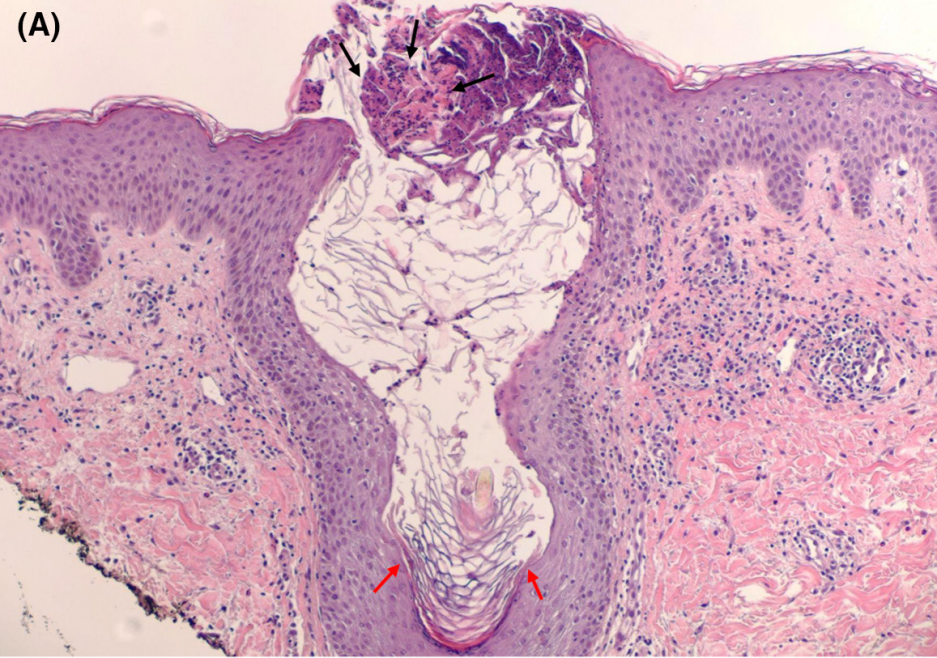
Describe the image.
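This is skin with a widened hair follicle opening onto the surface: the follicle forms a deep flask-shaped pocket lined by stratified squamous epithelium and filled with loose, layered keratin around a hair shaft. At the follicle's mouth, a dense cluster of small dark-nucleated inflammatory cells lies within the surface keratin. The dermis on both sides holds scattered inflammatory cells, with denser collections around small vessels.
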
